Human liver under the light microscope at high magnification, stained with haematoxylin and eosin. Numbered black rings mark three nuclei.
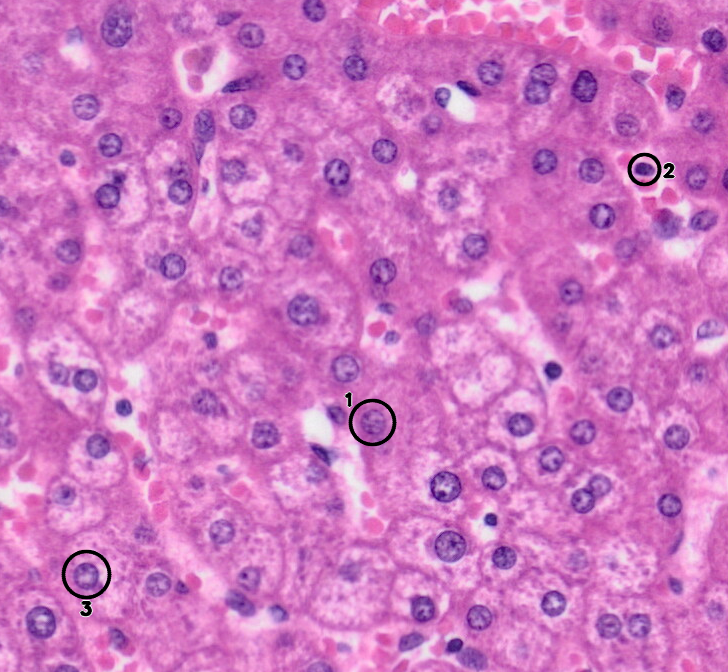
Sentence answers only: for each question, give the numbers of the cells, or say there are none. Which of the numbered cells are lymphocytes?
Where the numbered cells are concerned, only number 2 is a lymphocyte.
